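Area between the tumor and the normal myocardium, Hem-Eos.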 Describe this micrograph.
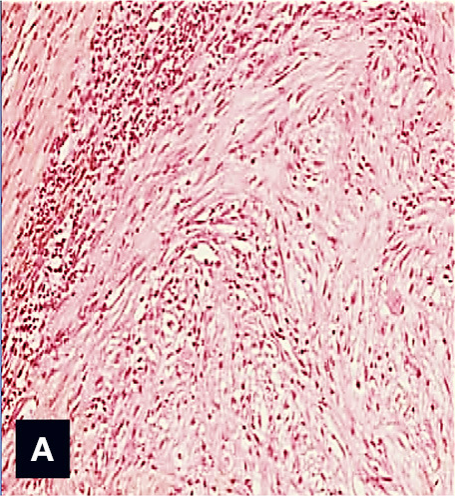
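At lower power, a dense band of inflammatory cells with small, dark, round nuclei runs along one side of the field. Beside it lies pale pink tissue of spindle-shaped cells arranged in interlacing bundles, with scattered inflammatory cells among them.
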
